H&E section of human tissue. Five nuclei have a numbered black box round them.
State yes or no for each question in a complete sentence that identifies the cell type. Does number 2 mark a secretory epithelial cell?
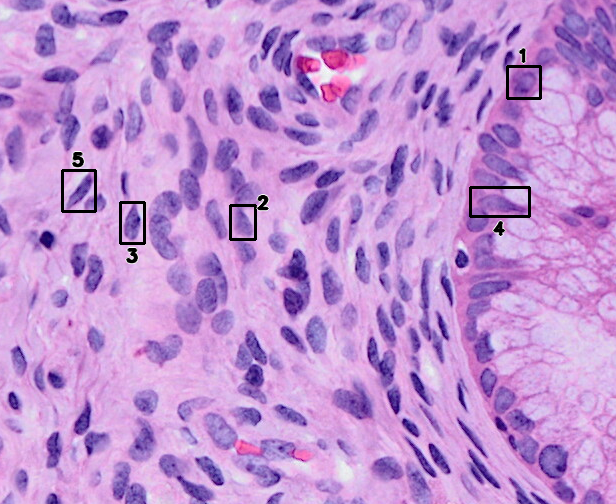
No, the cell under number 2 is a fibroblast, not a secretory epithelial cell.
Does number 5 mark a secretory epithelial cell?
No, sorry, the cell labelled 5 is not a secretory epithelial cell; it is a fibroblast.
